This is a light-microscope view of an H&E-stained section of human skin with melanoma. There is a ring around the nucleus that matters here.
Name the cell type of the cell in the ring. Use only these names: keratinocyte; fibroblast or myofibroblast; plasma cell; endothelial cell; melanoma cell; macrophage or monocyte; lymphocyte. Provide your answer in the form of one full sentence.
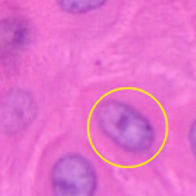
The correct response here is that the cell in the ring is a keratinocyte.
